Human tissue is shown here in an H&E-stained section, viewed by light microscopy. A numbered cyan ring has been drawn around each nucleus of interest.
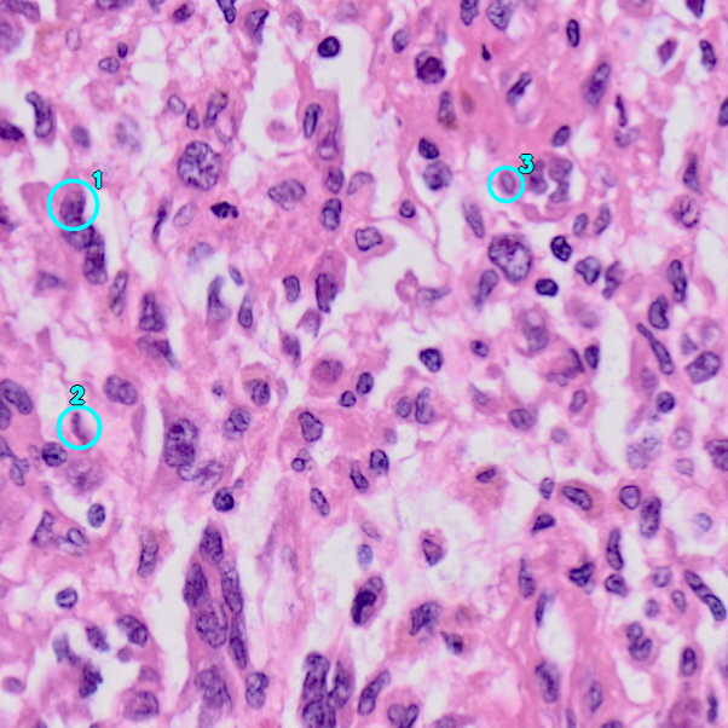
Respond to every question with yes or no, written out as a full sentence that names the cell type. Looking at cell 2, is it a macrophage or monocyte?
No, it is a fibroblast or myofibroblast that is marked with number 2, not a macrophage or monocyte.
